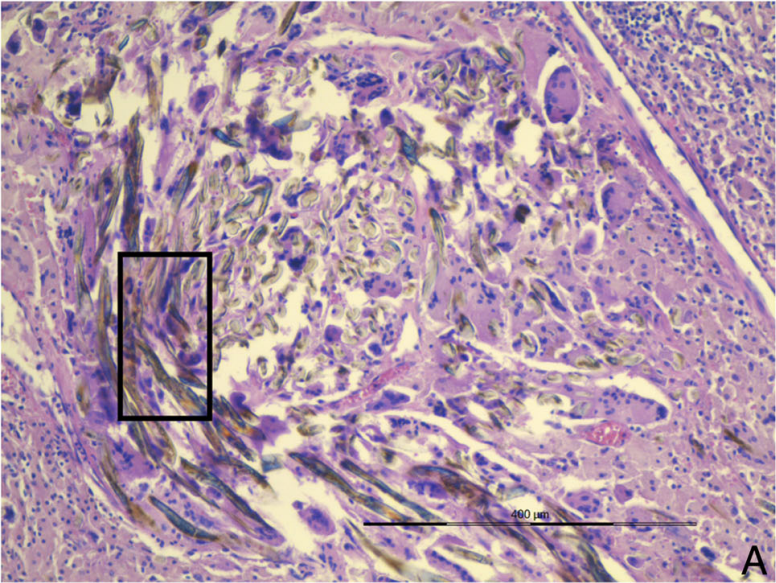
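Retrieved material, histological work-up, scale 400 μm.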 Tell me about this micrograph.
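This is a foreign-body reaction in connective tissue, crowded with macrophages and multinucleated giant cells around many thread-like fragments. The fragments are elongated or cut across as ovals, brownish to bluish-grey, and lie in clear spaces. Toward the upper right the tissue becomes denser with small round nuclei, separated by a long straight band.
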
